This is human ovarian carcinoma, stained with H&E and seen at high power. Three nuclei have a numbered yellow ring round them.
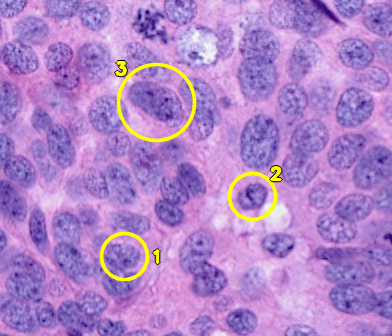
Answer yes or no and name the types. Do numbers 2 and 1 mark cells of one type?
No, cell 2 is a macrophage or monocyte and cell 1 is a carcinoma cell.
